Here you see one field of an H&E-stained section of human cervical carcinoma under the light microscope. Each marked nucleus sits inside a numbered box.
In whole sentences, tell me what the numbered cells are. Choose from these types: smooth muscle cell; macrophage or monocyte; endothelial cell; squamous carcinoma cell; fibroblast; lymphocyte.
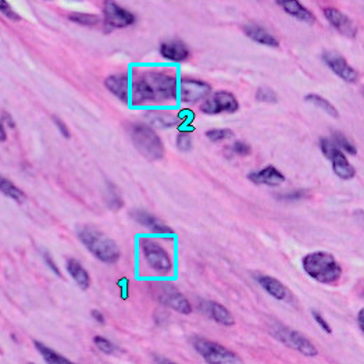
Cell 1 is a smooth muscle cell and cell 2 is an endothelial cell.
